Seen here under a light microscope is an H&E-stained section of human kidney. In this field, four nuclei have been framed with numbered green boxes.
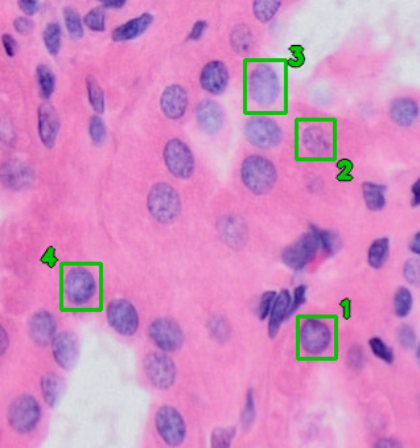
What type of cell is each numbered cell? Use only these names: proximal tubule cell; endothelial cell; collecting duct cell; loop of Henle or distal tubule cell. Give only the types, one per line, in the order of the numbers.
proximal tubule cell
loop of Henle or distal tubule cell
loop of Henle or distal tubule cell
loop of Henle or distal tubule cell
